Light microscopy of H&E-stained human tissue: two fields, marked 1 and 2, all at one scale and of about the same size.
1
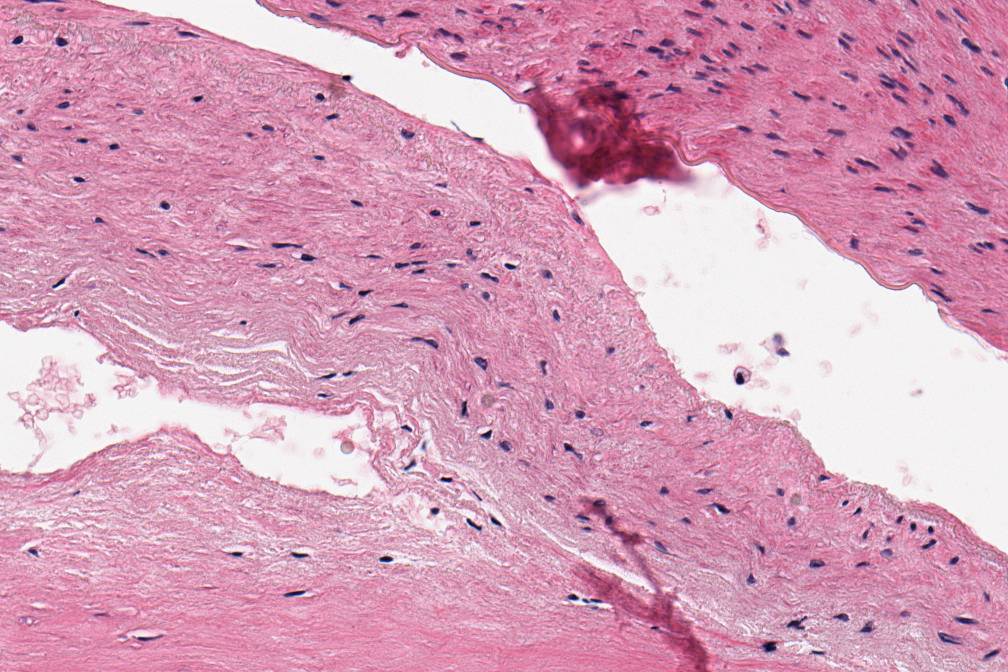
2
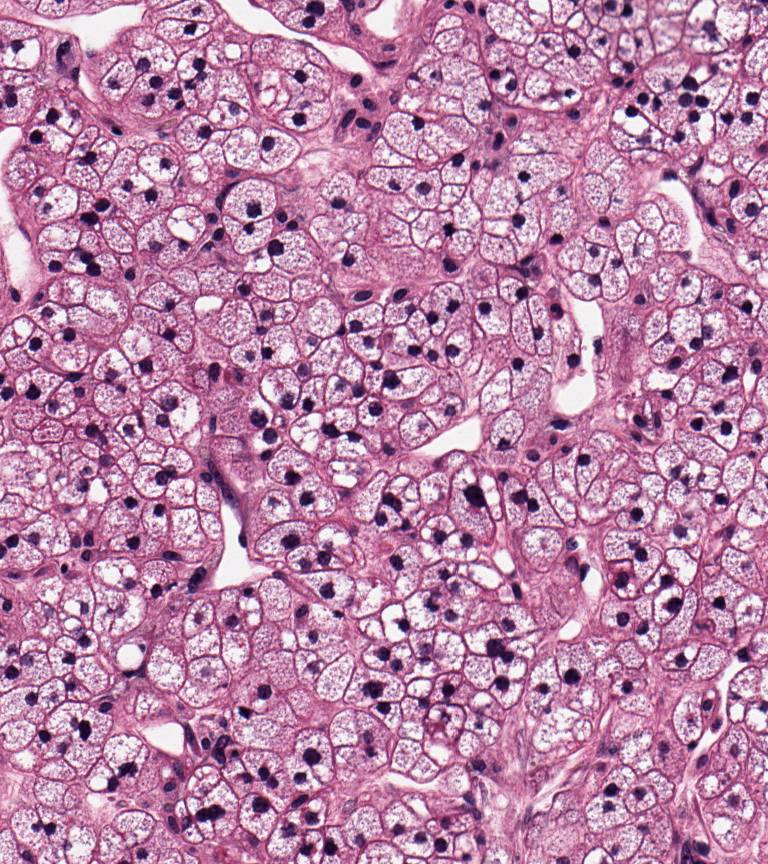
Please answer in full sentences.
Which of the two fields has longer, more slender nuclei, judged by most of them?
The nuclei are more elongated in picture 1.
